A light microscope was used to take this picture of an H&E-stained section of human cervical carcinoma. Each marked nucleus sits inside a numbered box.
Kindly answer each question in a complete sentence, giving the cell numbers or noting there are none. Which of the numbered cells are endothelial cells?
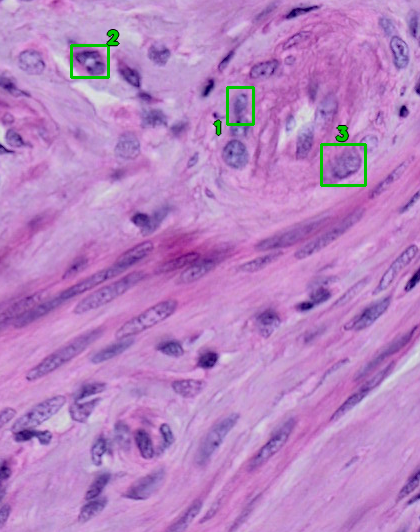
As for the numbered cells, only cell 2 is an endothelial cell.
